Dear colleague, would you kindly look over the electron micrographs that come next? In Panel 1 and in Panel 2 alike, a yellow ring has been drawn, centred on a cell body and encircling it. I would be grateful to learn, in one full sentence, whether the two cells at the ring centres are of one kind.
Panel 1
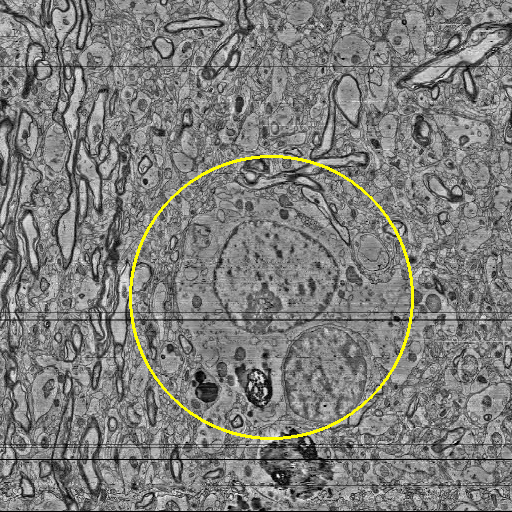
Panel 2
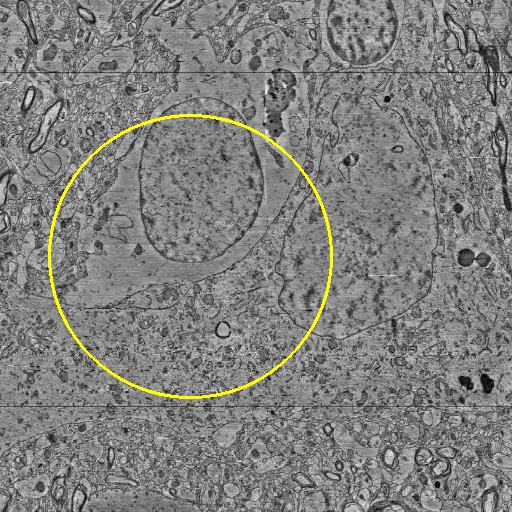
Yes, the cells in the middle of the rings in the two panels are of one kind.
